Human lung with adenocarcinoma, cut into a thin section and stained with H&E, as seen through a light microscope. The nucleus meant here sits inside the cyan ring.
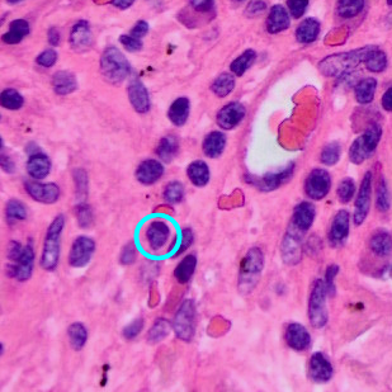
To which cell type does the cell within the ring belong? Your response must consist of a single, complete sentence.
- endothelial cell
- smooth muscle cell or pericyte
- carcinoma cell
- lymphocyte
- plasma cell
For cell typing purposes, the cell within the ring is a lymphocyte.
